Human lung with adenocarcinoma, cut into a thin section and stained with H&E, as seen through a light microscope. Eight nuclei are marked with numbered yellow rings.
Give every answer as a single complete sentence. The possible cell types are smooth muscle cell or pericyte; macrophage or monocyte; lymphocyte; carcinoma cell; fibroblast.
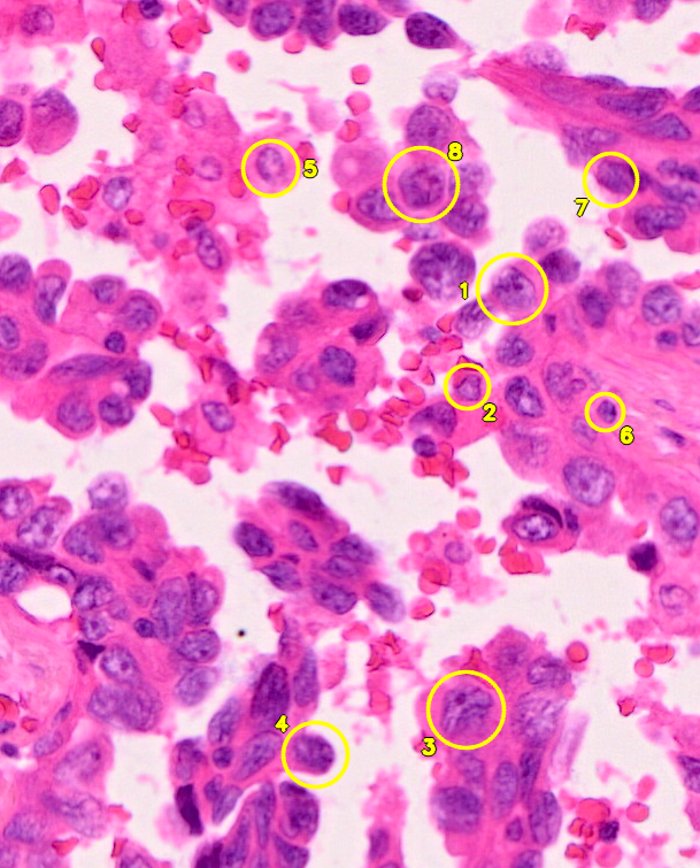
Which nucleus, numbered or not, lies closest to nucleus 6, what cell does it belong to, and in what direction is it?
The nearest nucleus is that of a carcinoma cell and lies below and to the left of nucleus 6.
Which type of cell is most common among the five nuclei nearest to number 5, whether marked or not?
Macrophages or monocytes make up most of the five nuclei closest to number 5.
